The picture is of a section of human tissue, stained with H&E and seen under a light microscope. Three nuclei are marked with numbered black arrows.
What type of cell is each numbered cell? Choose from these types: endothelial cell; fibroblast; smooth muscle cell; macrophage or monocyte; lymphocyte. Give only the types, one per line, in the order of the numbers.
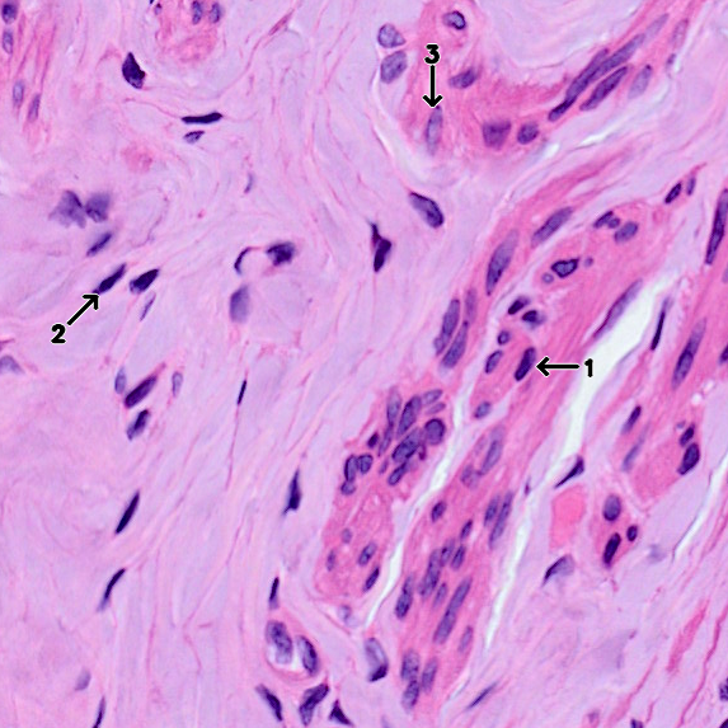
smooth muscle cell
fibroblast
smooth muscle cell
